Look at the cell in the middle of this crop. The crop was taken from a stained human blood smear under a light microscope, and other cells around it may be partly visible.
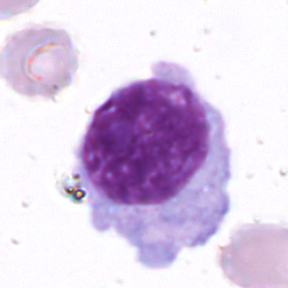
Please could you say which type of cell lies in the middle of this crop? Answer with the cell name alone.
plasma cell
